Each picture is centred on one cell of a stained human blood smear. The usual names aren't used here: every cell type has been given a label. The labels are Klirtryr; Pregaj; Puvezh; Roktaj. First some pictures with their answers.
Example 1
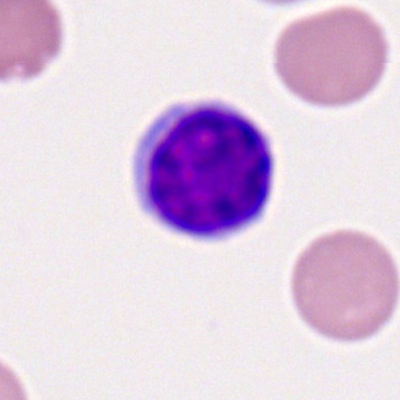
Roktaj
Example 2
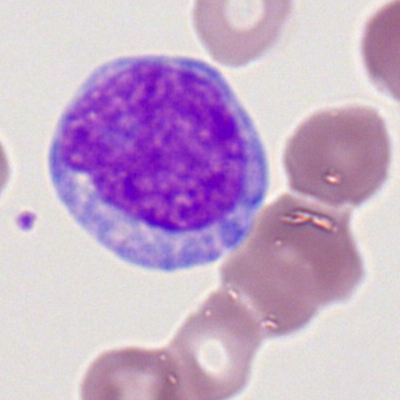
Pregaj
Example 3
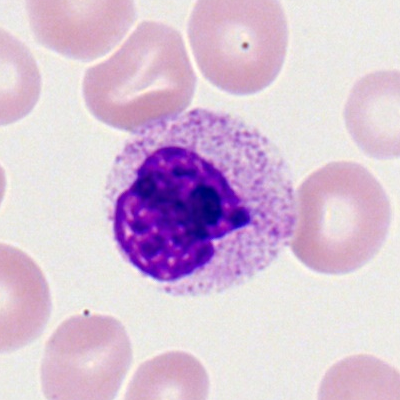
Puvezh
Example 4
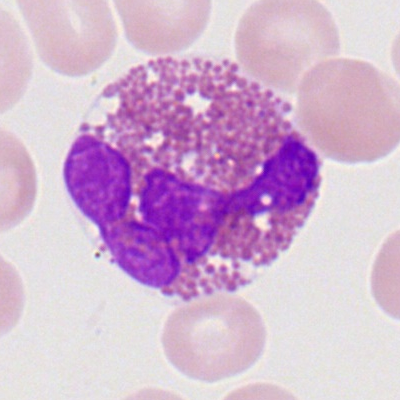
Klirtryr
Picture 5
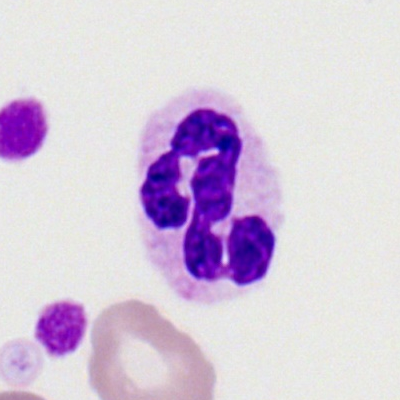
Puvezh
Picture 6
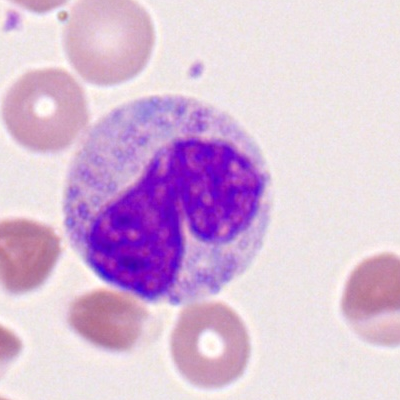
Pregaj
